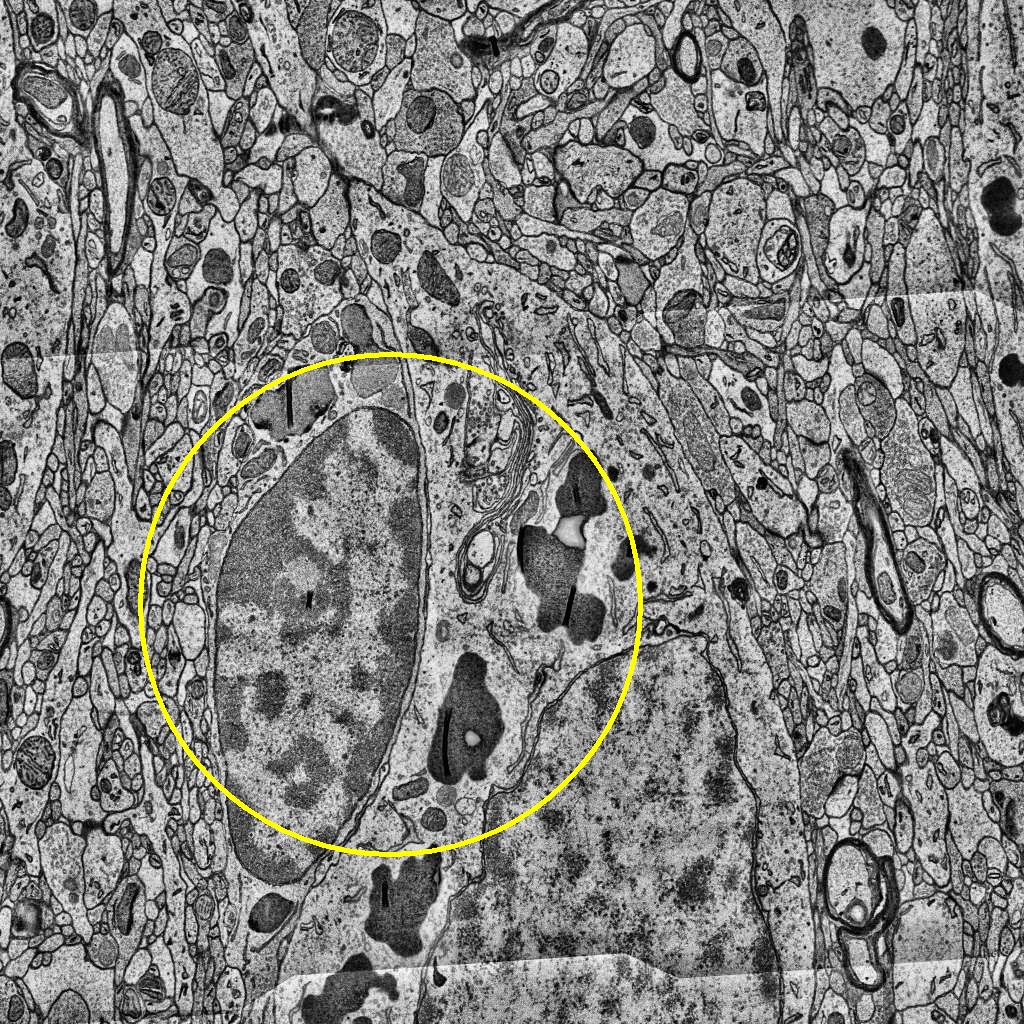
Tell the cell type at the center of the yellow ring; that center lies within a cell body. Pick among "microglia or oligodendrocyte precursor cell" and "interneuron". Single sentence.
The ring's center lies in the body of a microglial cell or oligodendrocyte precursor cell.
